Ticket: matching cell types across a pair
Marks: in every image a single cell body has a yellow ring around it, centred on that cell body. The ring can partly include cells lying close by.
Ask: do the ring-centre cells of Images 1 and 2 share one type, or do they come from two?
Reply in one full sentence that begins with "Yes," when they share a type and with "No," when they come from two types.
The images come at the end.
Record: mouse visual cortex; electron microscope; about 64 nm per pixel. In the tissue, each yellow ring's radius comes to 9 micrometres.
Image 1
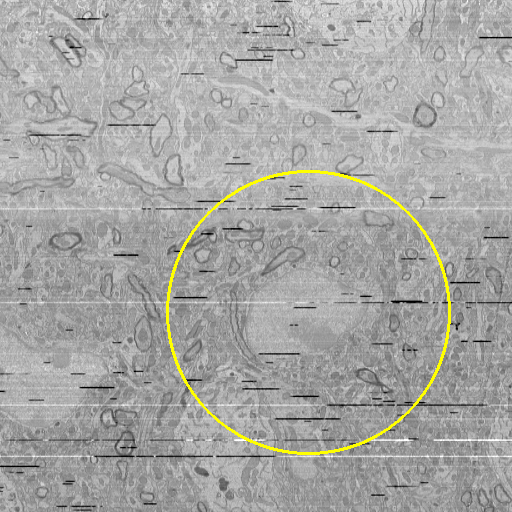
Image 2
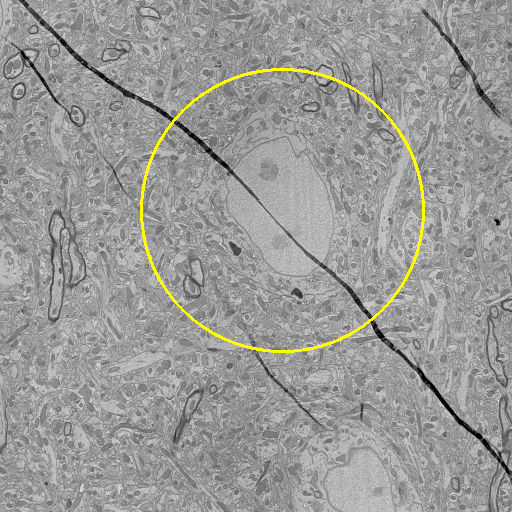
No, the cells in the centres of the rings in Image 1 and Image 2 come from two types.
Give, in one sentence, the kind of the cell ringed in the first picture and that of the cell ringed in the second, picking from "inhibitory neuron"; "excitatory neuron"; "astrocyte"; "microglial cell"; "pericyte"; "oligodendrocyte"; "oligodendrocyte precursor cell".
For the first picture it is an astrocyte; for the second, an excitatory neuron.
